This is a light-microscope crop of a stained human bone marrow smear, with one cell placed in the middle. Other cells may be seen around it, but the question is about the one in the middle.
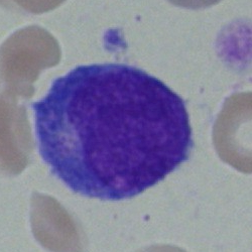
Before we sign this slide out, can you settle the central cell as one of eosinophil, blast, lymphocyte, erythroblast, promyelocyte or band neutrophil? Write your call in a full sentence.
What sits at the centre of this crop is a blast.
